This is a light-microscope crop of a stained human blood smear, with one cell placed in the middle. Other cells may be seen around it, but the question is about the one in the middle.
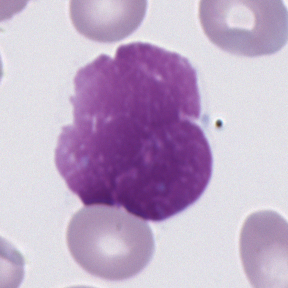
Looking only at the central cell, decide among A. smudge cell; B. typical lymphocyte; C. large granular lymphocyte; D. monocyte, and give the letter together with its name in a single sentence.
Option A is accurate; the centrally placed cell is a smudge cell.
